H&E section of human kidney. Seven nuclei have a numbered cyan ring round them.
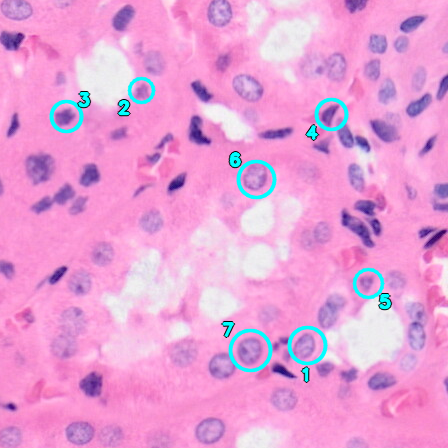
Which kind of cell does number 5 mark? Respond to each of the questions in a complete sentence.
The nucleus marked 5 is the nucleus of a collecting duct cell.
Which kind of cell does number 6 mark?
The correct label for cell 6 is a proximal tubule cell.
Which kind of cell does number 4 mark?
Regarding cell 4, this one is an endothelial cell.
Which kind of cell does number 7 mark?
In this section, the cell tagged 7 is a proximal tubule cell.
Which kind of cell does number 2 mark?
The correct answer for cell 2 is a loop of Henle or distal tubule cell.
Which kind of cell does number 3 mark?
Number 3 is placed on a loop of Henle or distal tubule cell here.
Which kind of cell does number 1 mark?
The cell to which the number 1 is assigned is a collecting duct cell.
